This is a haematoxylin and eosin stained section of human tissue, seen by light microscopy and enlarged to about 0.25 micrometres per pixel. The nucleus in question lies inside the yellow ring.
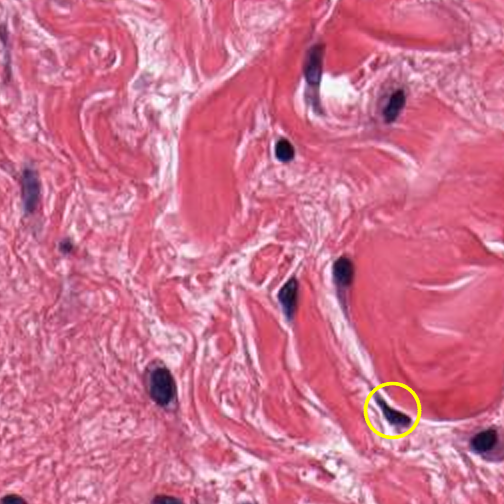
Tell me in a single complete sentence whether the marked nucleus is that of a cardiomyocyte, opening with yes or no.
No, a supporting cell is the one to which the marked nucleus belongs, not a cardiomyocyte.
